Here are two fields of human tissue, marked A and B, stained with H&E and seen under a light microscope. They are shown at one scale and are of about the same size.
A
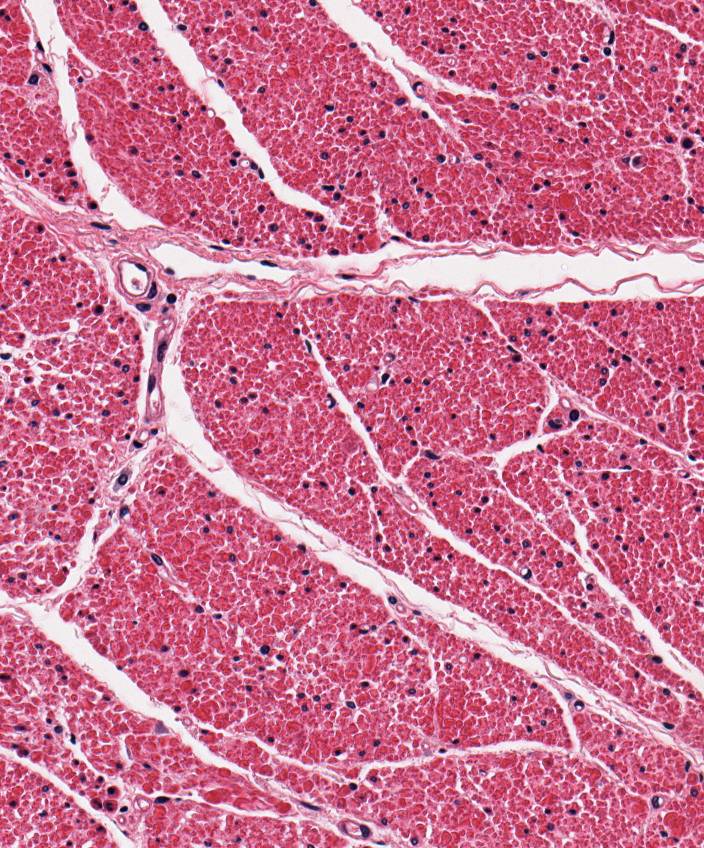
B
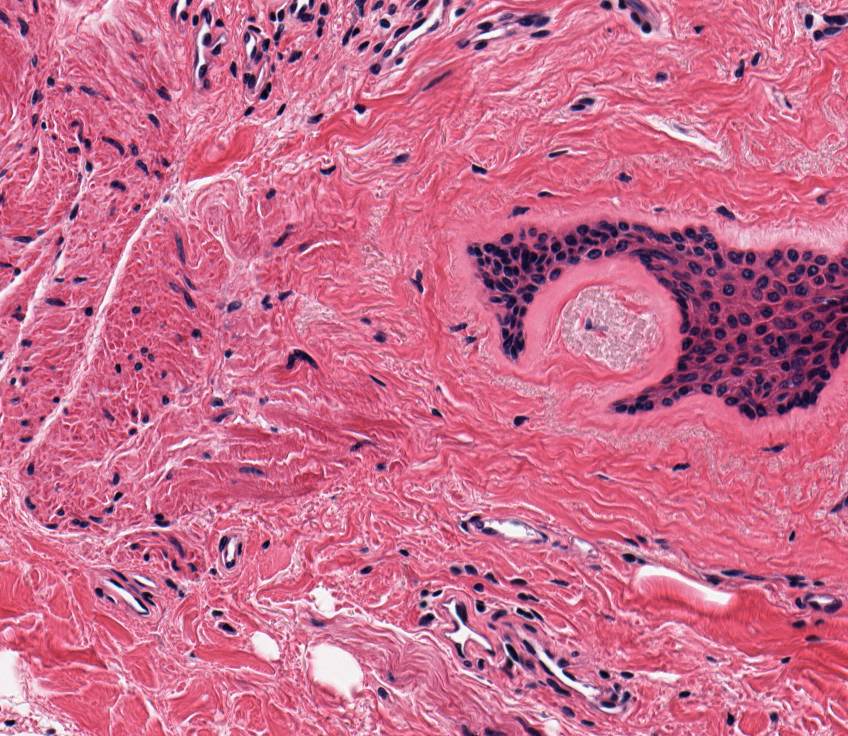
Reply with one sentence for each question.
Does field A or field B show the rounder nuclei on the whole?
The nuclei are rounder in field A.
